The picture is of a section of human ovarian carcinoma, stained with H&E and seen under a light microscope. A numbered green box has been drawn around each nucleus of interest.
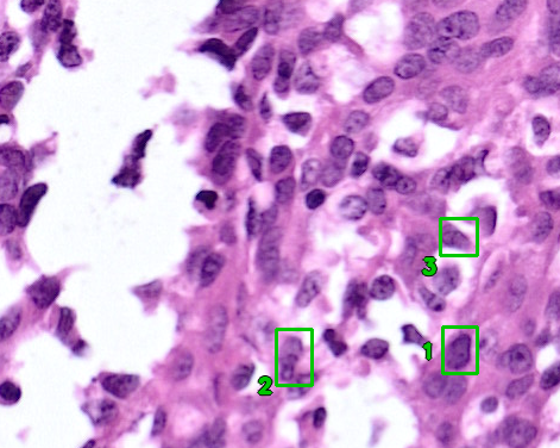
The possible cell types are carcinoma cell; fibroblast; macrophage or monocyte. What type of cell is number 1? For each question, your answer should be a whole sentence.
Marked with the number 1, this cell is a carcinoma cell.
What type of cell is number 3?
The nucleus with number 3 is that of a carcinoma cell.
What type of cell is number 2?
The one labeled 2 is a macrophage or monocyte, to put it simply.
